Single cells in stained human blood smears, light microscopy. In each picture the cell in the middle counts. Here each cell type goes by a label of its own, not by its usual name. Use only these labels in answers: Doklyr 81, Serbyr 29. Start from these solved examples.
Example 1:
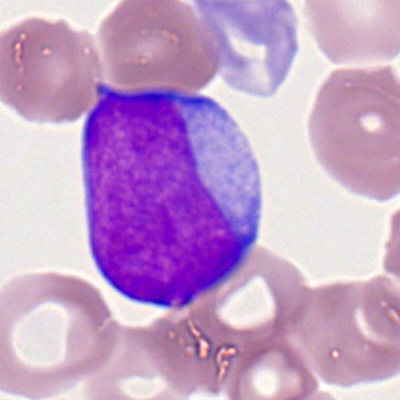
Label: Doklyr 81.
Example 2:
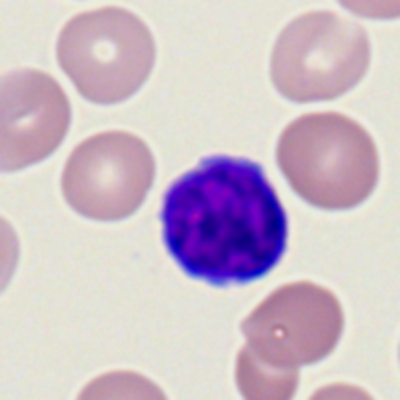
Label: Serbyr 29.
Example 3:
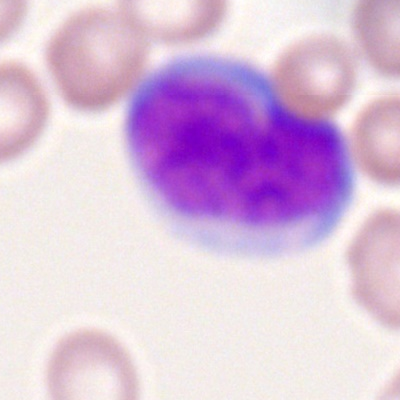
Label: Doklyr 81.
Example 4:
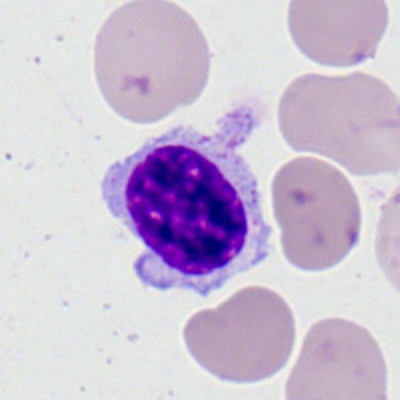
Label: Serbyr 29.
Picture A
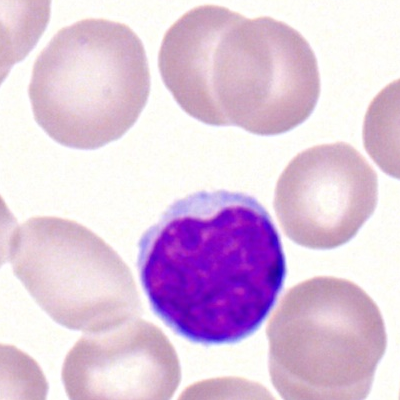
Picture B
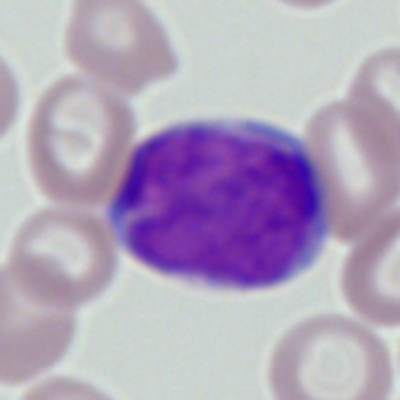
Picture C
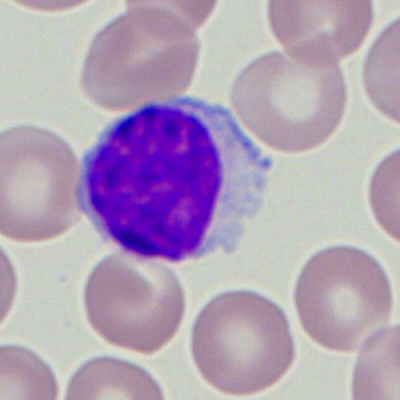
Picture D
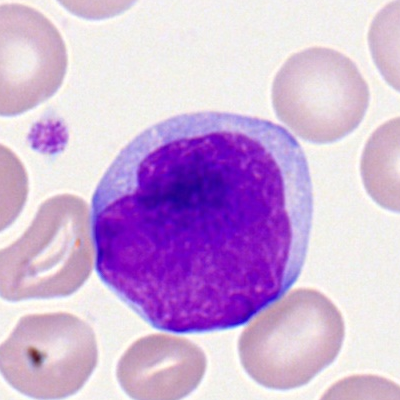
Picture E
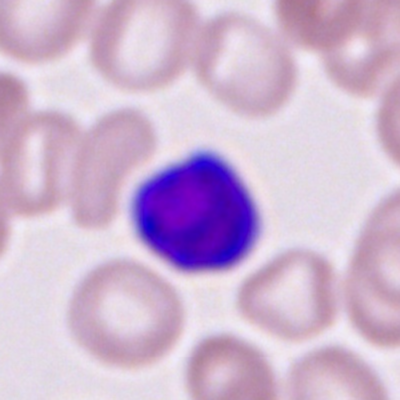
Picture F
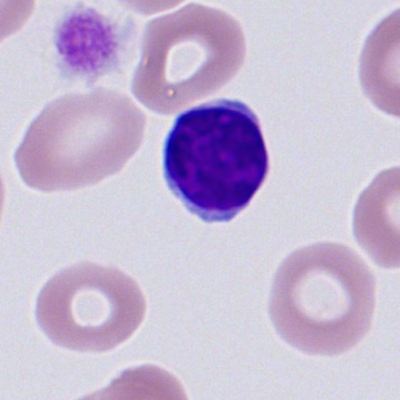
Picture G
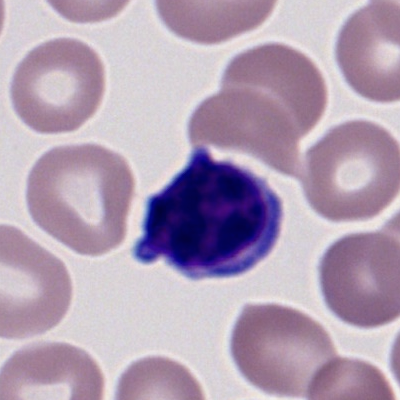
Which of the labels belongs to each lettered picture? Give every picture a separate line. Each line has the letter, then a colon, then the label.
A: Serbyr 29.
B: Doklyr 81.
C: Serbyr 29.
D: Doklyr 81.
E: Serbyr 29.
F: Serbyr 29.
G: Serbyr 29.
